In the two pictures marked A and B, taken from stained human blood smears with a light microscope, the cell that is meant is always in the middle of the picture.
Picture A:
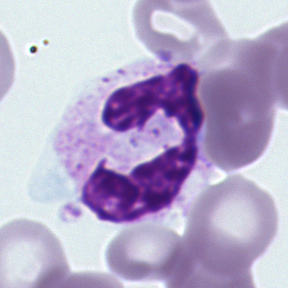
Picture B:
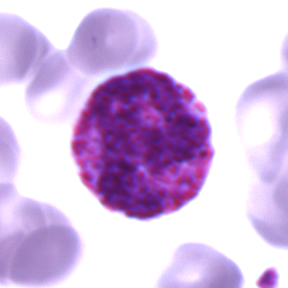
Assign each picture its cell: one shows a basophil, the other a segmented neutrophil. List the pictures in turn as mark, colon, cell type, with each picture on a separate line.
A: segmented neutrophil
B: basophil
